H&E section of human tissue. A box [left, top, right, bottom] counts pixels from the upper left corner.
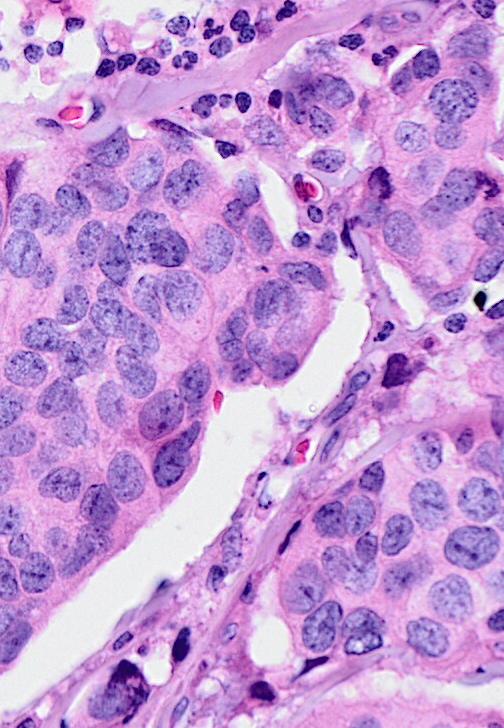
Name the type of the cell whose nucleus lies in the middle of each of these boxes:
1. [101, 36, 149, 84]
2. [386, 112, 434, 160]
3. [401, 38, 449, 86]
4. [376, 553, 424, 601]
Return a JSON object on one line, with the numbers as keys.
{"1": "lymphocyte", "2": "carcinoma cell", "3": "carcinoma cell", "4": "carcinoma cell"}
